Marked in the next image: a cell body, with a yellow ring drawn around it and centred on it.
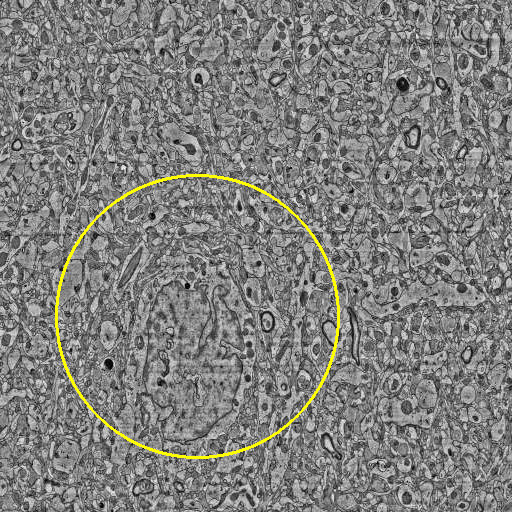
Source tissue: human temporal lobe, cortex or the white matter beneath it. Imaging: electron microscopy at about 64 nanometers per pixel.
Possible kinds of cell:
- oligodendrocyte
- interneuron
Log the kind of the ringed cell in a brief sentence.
The ringed cell body is that of an interneuron.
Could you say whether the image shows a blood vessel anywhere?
No, the image shows no blood vessel.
